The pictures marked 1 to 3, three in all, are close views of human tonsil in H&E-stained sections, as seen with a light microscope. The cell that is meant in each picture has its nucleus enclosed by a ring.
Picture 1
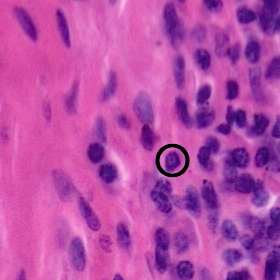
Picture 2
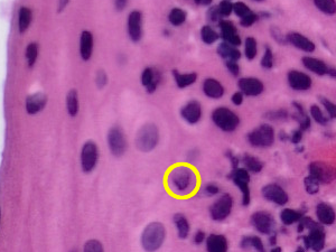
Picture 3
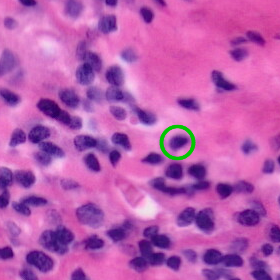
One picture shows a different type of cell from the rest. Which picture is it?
2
